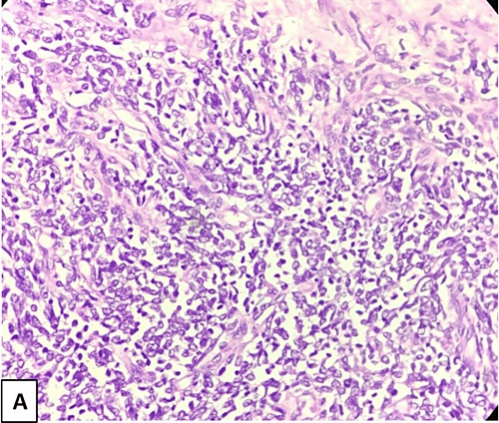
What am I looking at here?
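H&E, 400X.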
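This is a densely cellular tumor made of small ovoid tumor cells lying in sheets and loose nests, separated by thin pink fibrous strands. The cells are crowded and somewhat disorganised, ranging from round-oval to elongated and spindle-like. Their nuclei are dark purple, hyperchromatic and irregular in outline, often angulated, and they occupy nearly the whole cell, leaving only a scant rim of pale cytoplasm. Cell borders are indistinct. Toward the top, paler pink collagenous stroma with sparse elongated cells borders the tumor.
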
